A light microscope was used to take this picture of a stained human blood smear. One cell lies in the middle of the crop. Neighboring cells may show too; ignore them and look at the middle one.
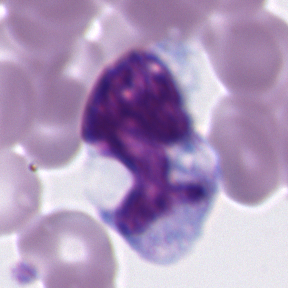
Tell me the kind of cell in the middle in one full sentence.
The crop centres on a single cell, and that cell is a monocyte.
